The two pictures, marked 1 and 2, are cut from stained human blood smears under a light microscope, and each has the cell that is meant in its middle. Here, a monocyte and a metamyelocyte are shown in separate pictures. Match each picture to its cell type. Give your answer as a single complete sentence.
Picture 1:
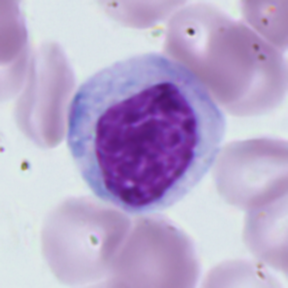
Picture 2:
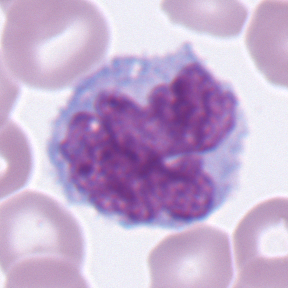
Picture 2 shows a monocyte, while picture 1 shows a metamyelocyte.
